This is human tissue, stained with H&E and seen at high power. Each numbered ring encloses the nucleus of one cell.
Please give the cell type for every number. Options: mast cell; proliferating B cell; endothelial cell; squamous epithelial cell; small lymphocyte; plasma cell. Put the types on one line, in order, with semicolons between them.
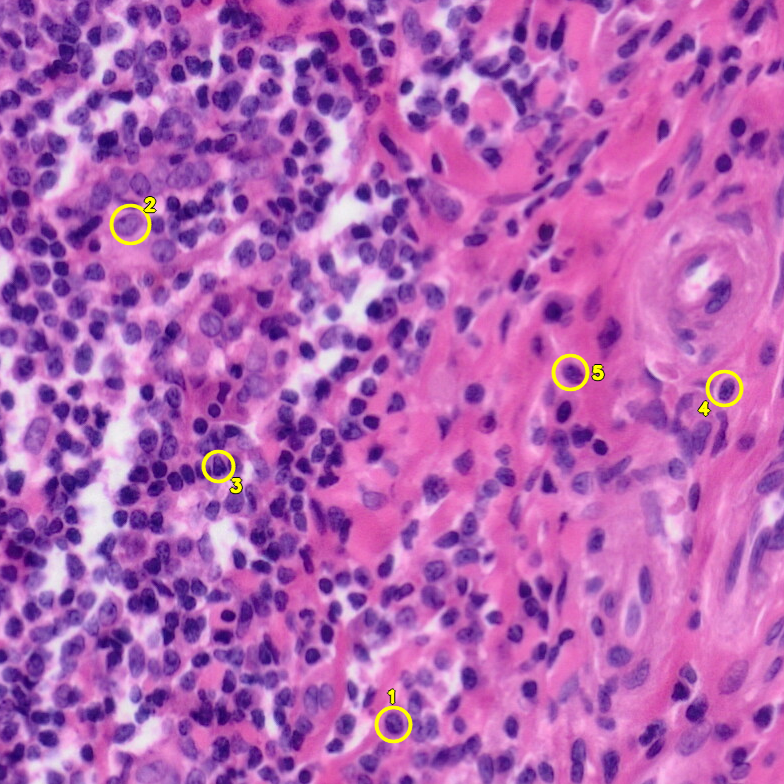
plasma cell; endothelial cell; small lymphocyte; mast cell; mast cell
